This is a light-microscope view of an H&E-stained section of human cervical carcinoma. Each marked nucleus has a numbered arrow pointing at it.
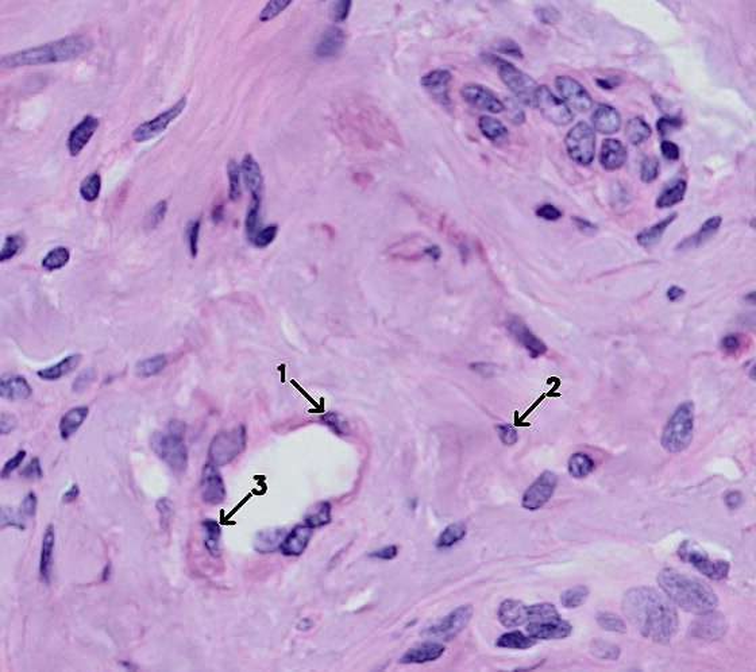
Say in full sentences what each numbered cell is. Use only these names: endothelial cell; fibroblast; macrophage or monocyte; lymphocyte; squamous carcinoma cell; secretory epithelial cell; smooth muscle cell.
Cells 1 and 3 are endothelial cells. Cell 2 is a fibroblast.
